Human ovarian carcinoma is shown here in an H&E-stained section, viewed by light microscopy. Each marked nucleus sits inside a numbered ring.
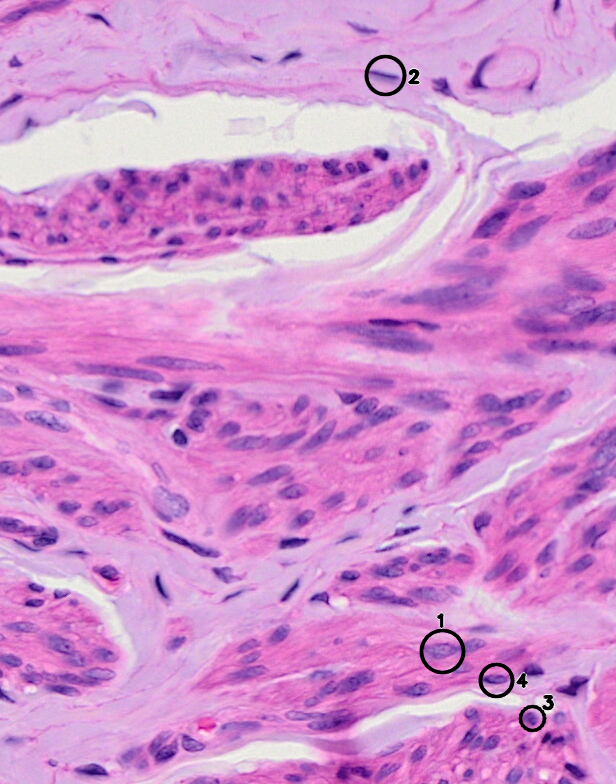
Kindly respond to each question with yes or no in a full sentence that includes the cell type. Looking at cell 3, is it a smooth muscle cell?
Yes, for number 3, the cell is a smooth muscle cell.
